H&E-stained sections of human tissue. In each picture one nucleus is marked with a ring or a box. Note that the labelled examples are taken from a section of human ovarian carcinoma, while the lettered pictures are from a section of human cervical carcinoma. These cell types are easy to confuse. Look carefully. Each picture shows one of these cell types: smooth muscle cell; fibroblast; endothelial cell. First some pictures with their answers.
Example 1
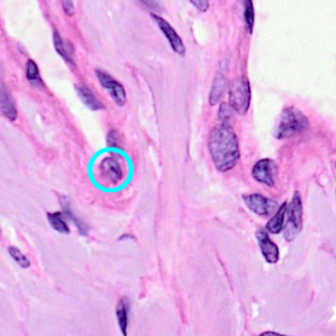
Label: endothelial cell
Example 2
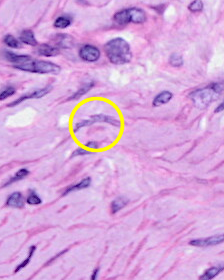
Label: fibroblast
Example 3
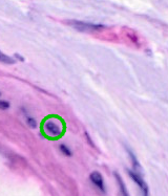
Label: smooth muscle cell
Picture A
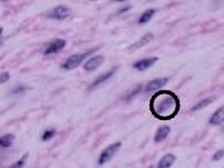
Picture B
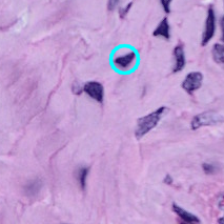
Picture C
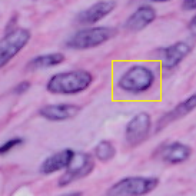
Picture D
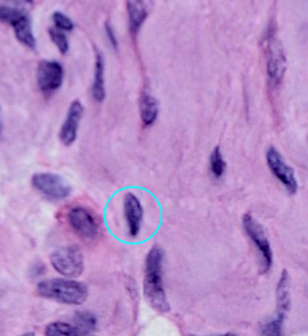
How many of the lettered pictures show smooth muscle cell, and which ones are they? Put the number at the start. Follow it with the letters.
2, namely A, C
